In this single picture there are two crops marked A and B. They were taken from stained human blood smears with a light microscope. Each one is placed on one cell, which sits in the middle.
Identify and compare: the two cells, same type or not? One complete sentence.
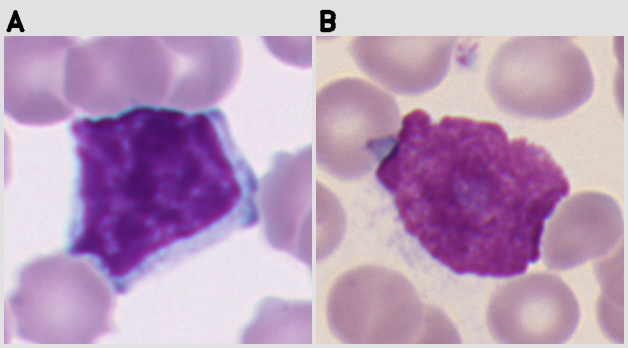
No, a typical lymphocyte occupies the middle of crop A, and a smudge cell the middle of crop B.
